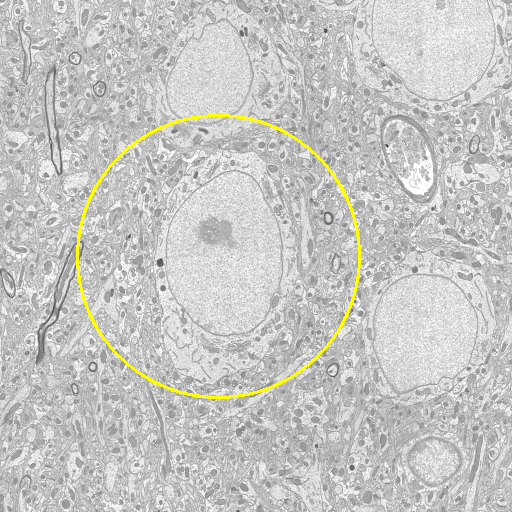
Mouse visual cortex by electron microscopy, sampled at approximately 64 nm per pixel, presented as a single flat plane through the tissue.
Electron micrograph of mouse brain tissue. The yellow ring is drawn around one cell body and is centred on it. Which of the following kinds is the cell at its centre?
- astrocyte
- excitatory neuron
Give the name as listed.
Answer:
excitatory neuron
